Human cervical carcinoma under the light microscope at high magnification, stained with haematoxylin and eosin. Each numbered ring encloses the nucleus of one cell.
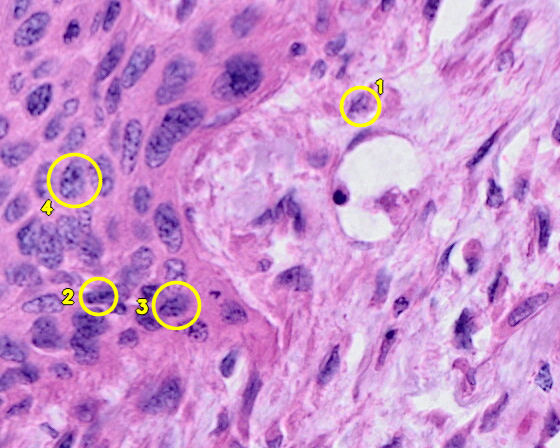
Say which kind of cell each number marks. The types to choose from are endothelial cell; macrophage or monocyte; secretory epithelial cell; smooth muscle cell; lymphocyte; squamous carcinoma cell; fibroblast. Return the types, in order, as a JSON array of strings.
["fibroblast", "squamous carcinoma cell", "squamous carcinoma cell", "squamous carcinoma cell"]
